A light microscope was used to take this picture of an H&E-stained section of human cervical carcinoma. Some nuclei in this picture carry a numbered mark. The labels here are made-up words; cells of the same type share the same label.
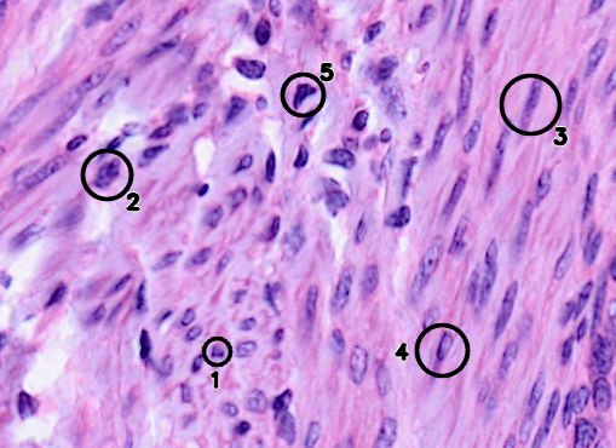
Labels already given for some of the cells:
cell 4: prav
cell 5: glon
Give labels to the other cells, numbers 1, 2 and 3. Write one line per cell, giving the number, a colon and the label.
1: prav
2: glon
3: prav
